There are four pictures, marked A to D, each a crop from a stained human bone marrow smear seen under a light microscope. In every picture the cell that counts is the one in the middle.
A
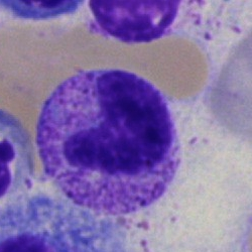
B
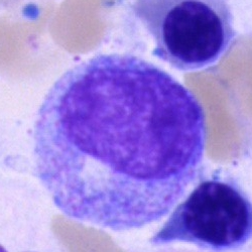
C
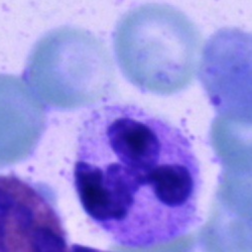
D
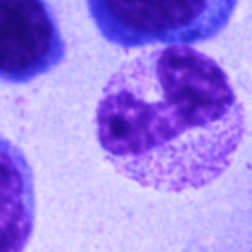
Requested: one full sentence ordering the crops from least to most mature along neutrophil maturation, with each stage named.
The maturation sequence, earliest to latest, reads crop B (a promyelocyte), crop A (a metamyelocyte), crop D (a band neutrophil) and crop C (a segmented neutrophil).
